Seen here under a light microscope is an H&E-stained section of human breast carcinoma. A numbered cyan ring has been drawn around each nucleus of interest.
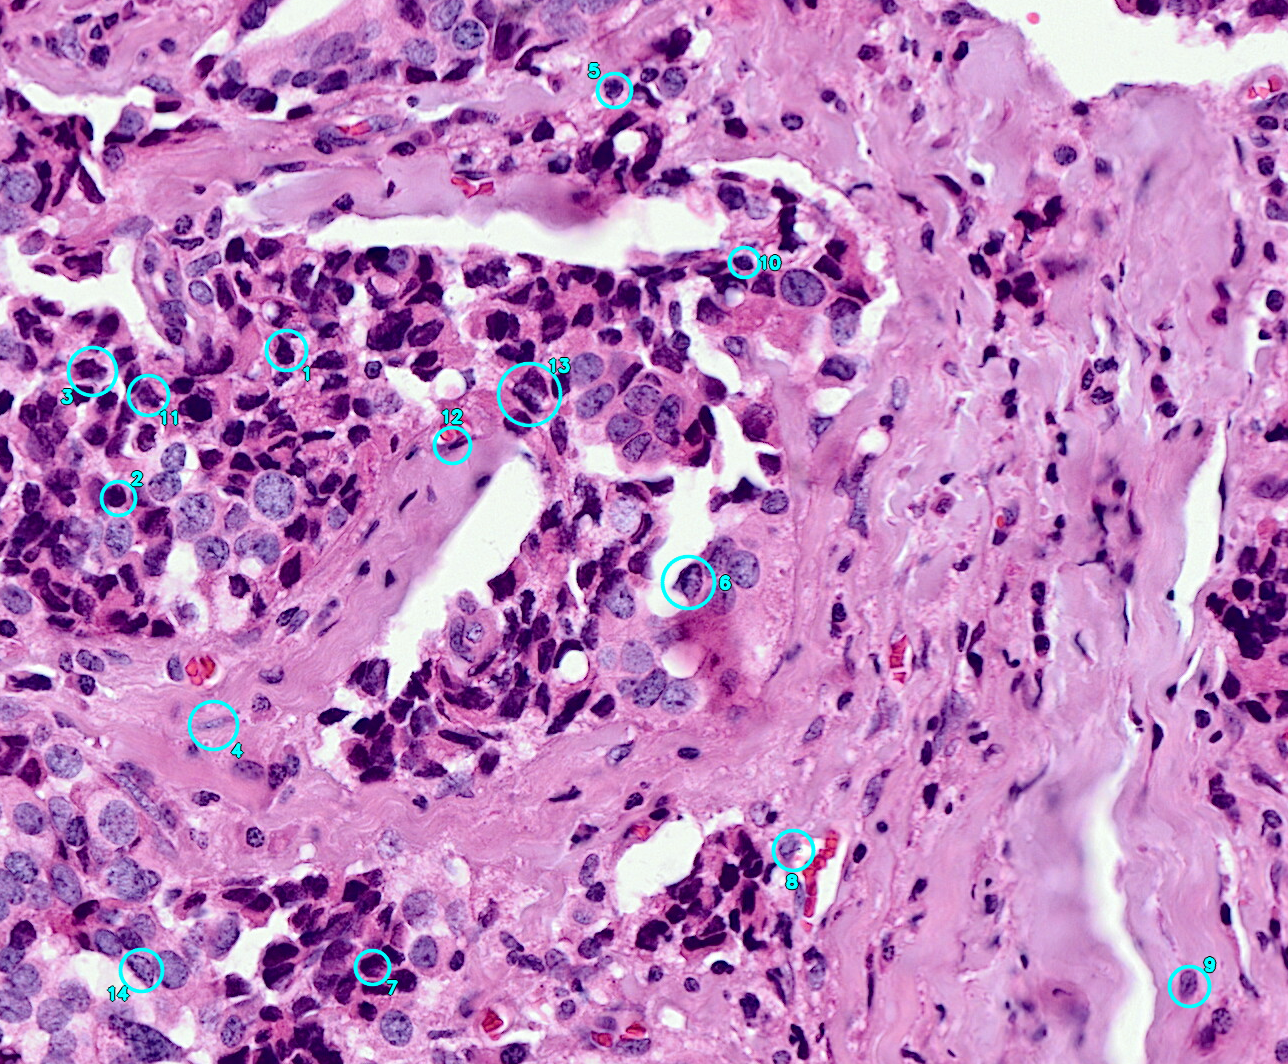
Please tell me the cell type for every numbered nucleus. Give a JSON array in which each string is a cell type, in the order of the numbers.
["carcinoma cell", "carcinoma cell", "carcinoma cell", "fibroblast", "lymphocyte", "carcinoma cell", "carcinoma cell", "endothelial cell", "mast cell", "lymphocyte", "carcinoma cell", "endothelial cell", "carcinoma cell", "carcinoma cell"]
